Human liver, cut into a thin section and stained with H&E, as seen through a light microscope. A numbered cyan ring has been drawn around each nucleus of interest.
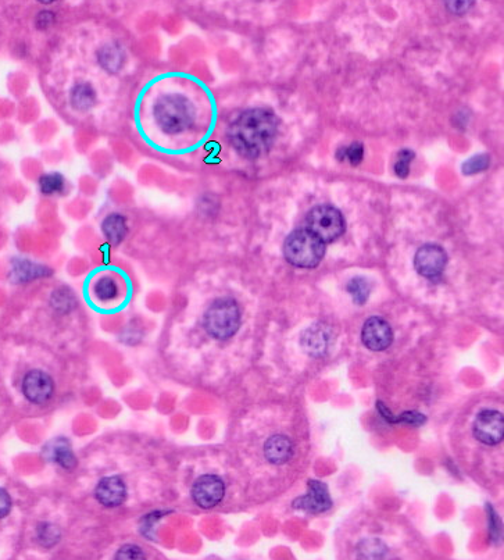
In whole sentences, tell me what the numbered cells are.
Cell 1 is a lymphocyte and cell 2 is a hepatocyte.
